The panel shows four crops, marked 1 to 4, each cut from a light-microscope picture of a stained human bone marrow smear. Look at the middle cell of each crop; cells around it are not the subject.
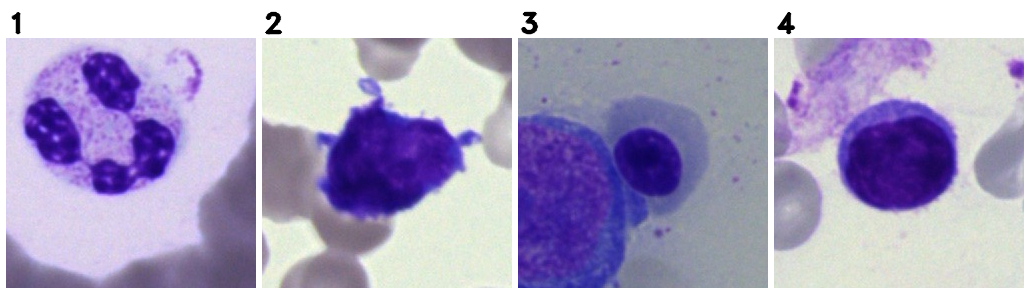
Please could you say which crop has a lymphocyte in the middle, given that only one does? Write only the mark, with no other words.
4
